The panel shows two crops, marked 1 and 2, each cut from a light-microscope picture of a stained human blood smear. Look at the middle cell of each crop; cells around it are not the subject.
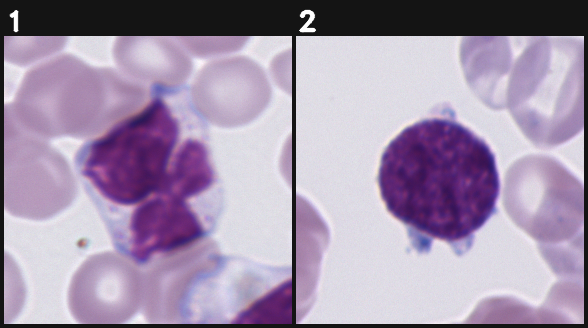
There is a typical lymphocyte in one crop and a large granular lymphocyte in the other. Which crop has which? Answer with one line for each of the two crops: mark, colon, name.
1: large granular lymphocyte
2: typical lymphocyte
